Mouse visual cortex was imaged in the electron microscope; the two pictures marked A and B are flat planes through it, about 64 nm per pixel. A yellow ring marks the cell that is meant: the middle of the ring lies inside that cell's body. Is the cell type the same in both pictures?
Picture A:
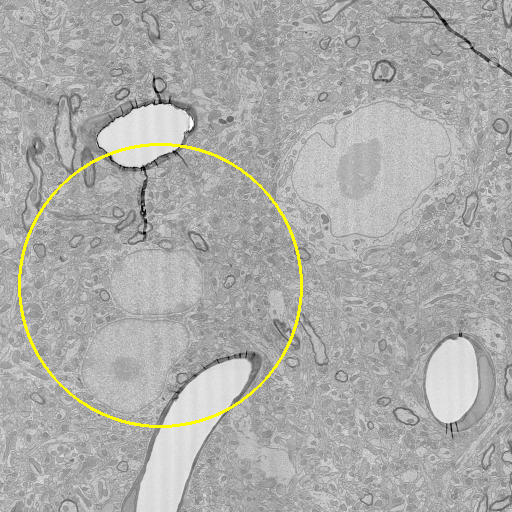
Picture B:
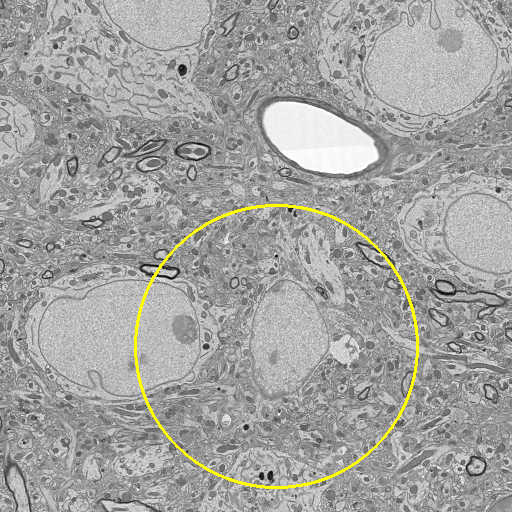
Yes, both are astrocytes.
